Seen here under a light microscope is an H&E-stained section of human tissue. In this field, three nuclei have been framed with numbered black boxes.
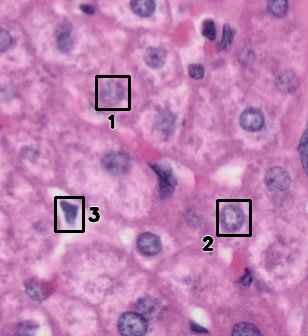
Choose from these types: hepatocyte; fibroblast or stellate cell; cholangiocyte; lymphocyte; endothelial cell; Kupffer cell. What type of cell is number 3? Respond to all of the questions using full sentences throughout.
In this section, the cell tagged 3 is a lymphocyte.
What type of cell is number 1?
It is as a hepatocyte that the cell numbered 1 is identified.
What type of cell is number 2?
In this section, the cell tagged 2 is a hepatocyte.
